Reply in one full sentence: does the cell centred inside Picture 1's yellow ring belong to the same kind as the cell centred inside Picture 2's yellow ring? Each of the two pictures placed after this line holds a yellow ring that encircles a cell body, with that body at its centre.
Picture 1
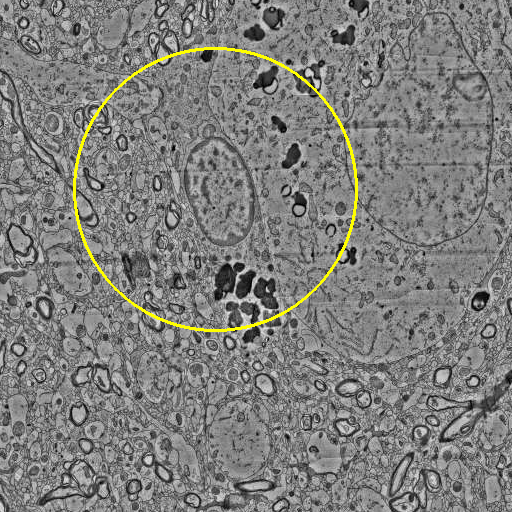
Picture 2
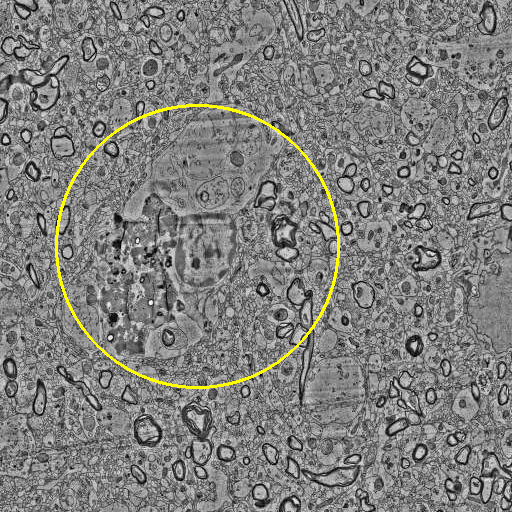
Yes, the ring-centred cells in Picture 1 and Picture 2 are of one and the same kind.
